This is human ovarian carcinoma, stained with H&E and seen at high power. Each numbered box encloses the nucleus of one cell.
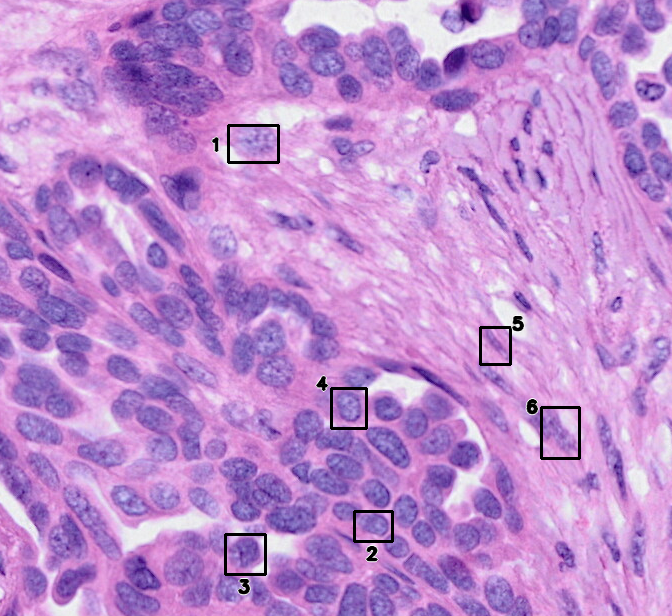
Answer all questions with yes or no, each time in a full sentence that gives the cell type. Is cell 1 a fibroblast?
Yes, the number 1 belongs to a fibroblast.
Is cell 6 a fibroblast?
Yes, the cell pointed out as number 6 is a fibroblast.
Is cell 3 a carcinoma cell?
Yes, that is right: the cell labelled 3 is a carcinoma cell.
